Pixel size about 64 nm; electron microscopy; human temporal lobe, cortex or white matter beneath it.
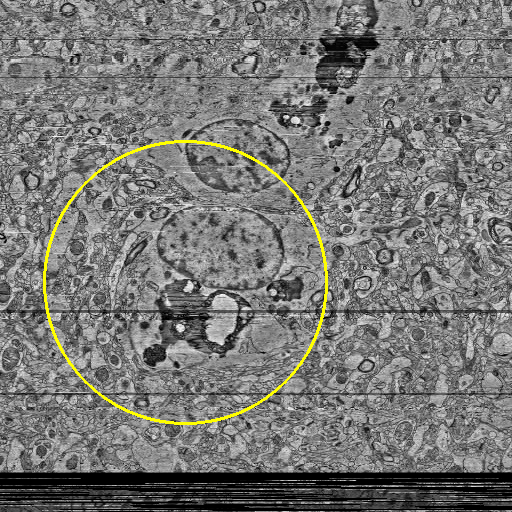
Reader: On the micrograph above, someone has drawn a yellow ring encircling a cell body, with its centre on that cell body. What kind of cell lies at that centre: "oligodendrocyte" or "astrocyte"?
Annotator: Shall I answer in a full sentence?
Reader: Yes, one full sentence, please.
Here an astrocyte sits at the centre of the yellow ring drawn on the micrograph.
